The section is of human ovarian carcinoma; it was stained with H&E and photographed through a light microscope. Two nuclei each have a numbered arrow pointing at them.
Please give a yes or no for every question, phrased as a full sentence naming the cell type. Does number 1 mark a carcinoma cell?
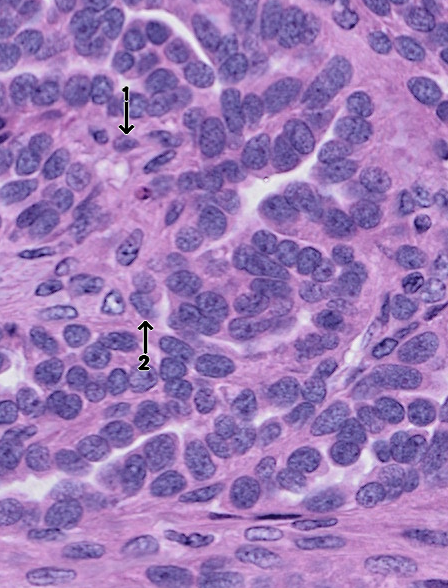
No, the cell under number 1 is a fibroblast instead of a carcinoma cell.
